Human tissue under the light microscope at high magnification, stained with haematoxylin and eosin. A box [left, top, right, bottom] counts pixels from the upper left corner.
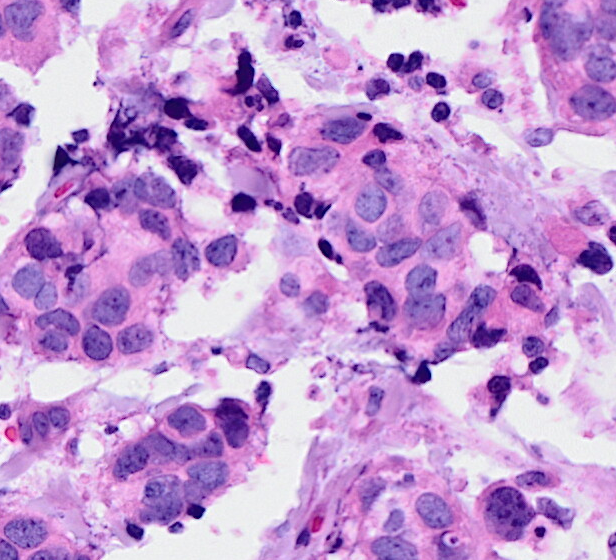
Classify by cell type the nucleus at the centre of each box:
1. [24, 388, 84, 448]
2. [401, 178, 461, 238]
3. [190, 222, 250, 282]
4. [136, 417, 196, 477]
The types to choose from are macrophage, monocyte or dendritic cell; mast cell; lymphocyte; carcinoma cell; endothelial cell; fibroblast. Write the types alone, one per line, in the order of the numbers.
endothelial cell
carcinoma cell
carcinoma cell
carcinoma cell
